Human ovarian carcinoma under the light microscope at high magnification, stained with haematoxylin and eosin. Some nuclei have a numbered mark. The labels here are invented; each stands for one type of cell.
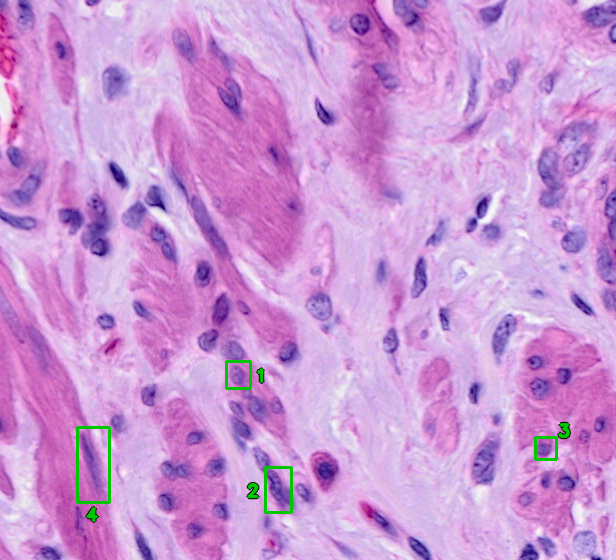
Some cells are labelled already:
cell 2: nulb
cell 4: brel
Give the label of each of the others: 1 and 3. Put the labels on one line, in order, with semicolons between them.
brel; brel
